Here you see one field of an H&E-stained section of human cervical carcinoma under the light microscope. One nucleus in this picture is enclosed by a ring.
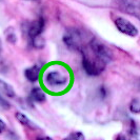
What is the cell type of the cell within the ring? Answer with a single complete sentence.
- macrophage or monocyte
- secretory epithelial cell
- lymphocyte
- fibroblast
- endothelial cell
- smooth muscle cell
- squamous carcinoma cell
The cell within the ring is a lymphocyte.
